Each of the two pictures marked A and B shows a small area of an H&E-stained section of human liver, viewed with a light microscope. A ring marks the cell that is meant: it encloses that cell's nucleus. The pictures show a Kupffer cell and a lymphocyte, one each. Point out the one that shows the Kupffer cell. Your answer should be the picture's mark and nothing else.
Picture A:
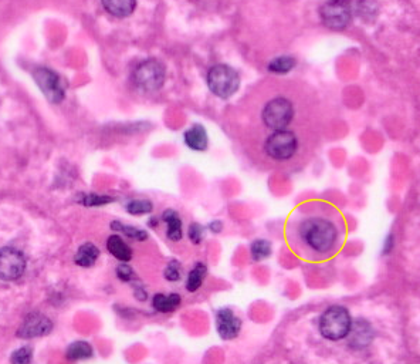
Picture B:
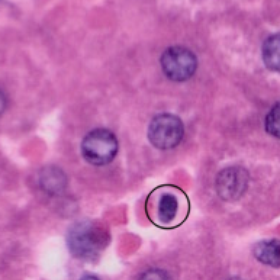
A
